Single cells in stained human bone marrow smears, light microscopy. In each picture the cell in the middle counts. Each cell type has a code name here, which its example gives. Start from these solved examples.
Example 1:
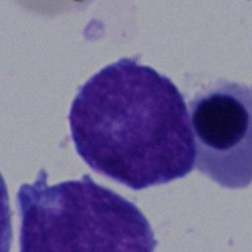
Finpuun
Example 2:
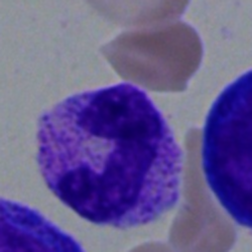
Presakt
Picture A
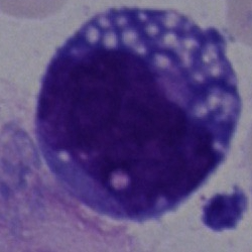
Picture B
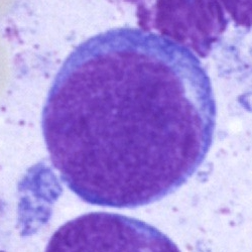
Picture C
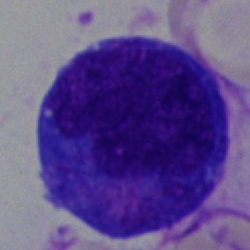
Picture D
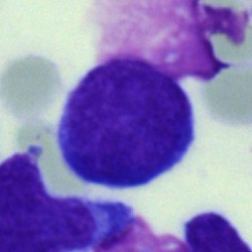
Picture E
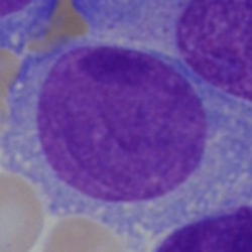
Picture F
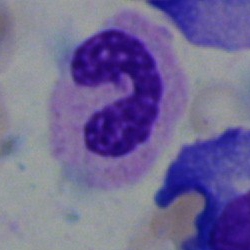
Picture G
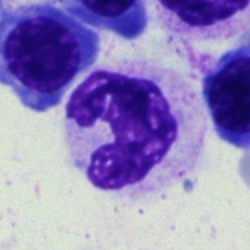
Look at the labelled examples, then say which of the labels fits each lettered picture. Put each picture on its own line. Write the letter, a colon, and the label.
A: Finpuun
B: Finpuun
C: Finpuun
D: Finpuun
E: Finpuun
F: Presakt
G: Presakt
